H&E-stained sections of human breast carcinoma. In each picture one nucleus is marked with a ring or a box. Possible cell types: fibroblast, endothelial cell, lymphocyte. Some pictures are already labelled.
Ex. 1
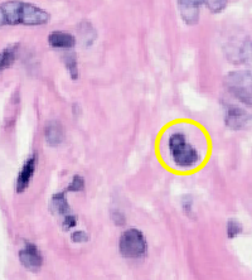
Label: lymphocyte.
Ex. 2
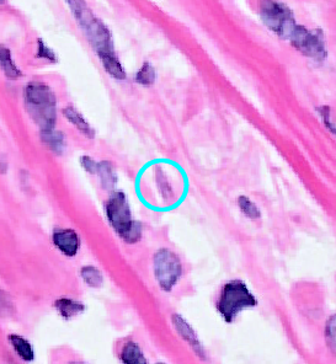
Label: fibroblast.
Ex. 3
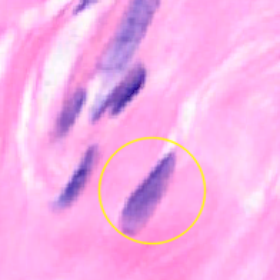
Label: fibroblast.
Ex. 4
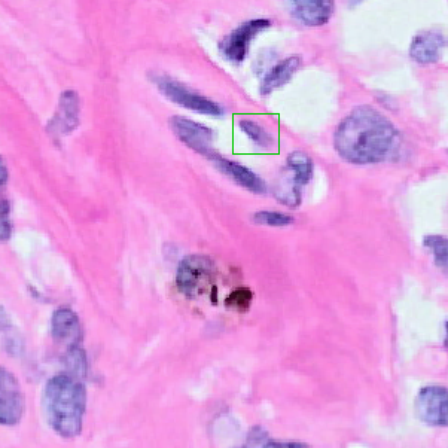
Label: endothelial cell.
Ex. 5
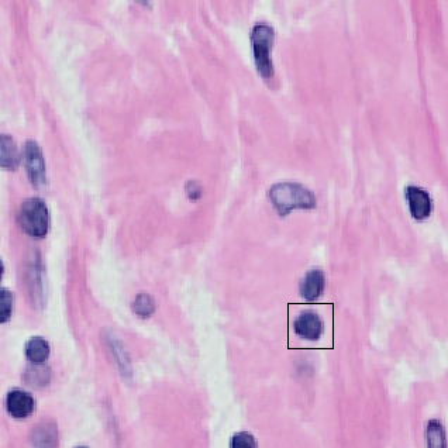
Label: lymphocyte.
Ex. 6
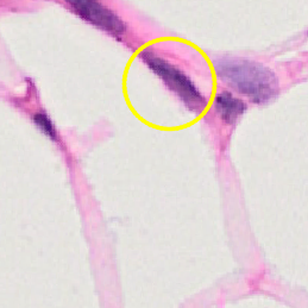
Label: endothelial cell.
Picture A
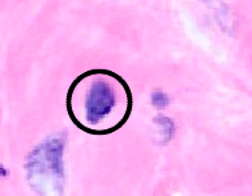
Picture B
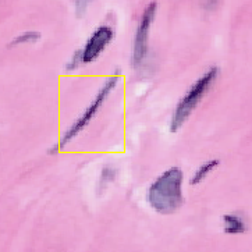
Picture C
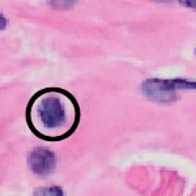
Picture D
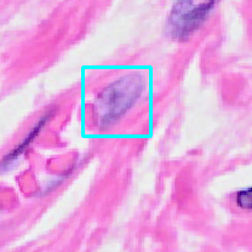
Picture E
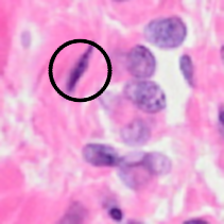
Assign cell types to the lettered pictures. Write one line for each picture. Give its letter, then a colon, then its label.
A: lymphocyte.
B: fibroblast.
C: lymphocyte.
D: endothelial cell.
E: fibroblast.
